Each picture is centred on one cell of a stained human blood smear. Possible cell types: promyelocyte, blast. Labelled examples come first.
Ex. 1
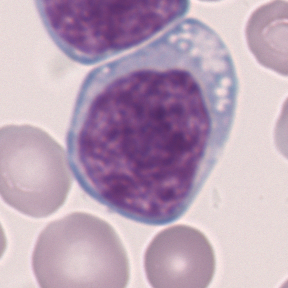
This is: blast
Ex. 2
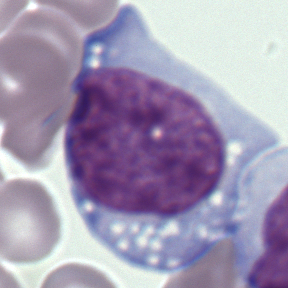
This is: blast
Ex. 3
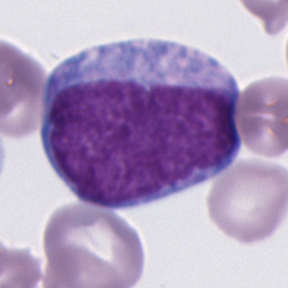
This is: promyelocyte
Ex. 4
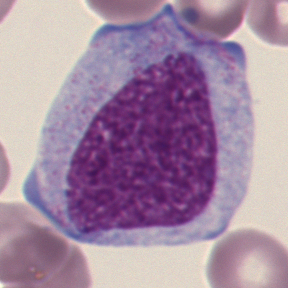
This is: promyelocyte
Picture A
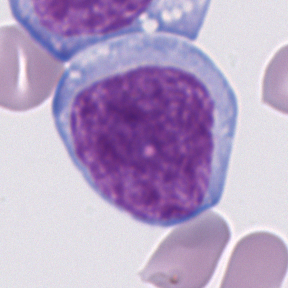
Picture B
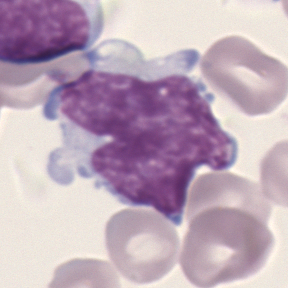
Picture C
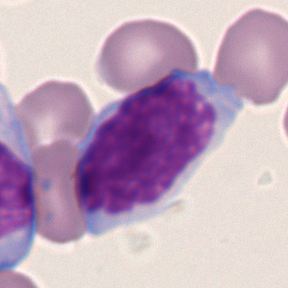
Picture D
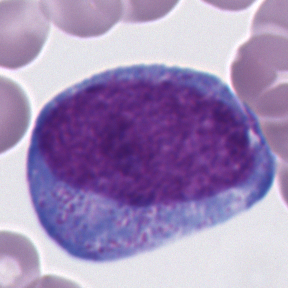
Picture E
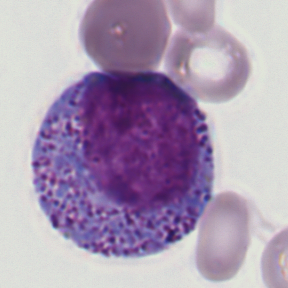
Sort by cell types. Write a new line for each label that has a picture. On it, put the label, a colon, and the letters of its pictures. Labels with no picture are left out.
promyelocyte: D, E
blast: A, B, C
